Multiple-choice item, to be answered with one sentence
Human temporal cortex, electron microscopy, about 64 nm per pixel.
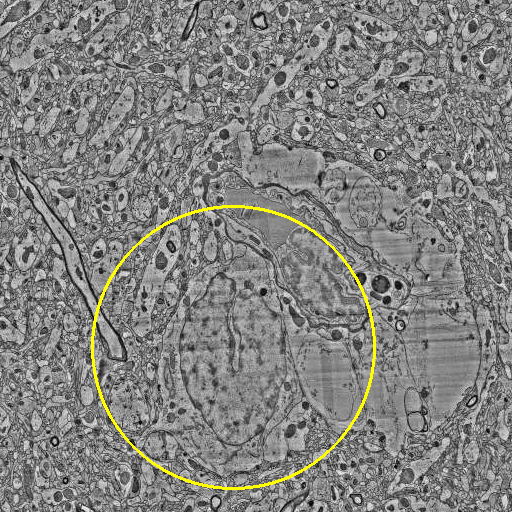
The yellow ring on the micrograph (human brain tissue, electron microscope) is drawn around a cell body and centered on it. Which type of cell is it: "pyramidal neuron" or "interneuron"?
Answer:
The ring is centered on an interneuron.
